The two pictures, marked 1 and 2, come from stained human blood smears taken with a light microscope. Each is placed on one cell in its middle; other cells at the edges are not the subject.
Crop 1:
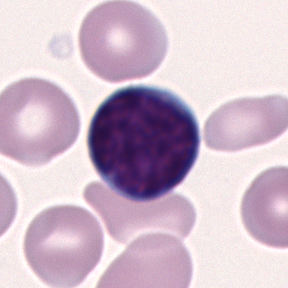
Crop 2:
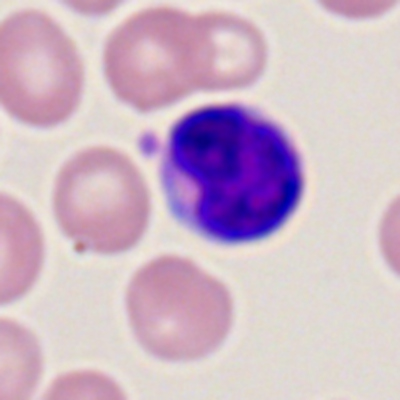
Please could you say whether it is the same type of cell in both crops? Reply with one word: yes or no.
yes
